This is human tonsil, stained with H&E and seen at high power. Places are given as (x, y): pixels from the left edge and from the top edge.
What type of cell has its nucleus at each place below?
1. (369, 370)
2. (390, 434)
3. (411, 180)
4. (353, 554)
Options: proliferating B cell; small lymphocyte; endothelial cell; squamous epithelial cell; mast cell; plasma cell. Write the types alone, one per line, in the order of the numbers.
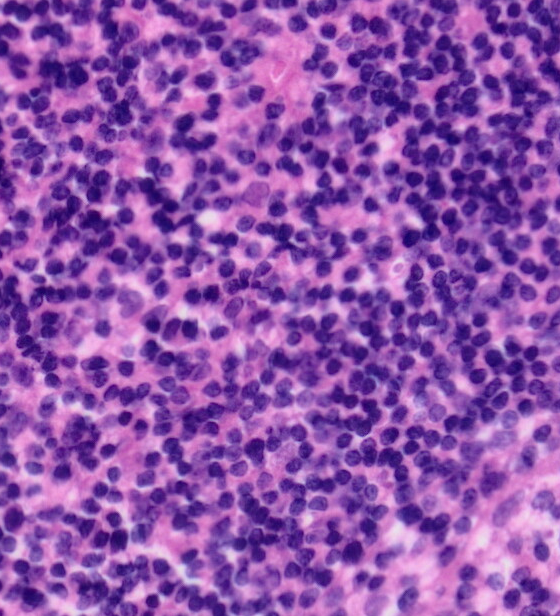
small lymphocyte
small lymphocyte
small lymphocyte
proliferating B cell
